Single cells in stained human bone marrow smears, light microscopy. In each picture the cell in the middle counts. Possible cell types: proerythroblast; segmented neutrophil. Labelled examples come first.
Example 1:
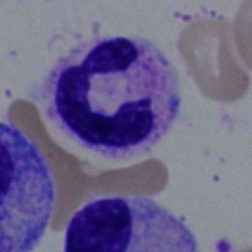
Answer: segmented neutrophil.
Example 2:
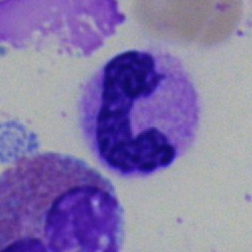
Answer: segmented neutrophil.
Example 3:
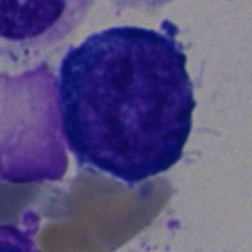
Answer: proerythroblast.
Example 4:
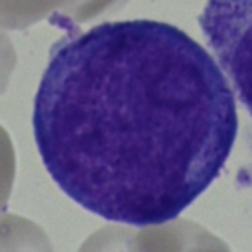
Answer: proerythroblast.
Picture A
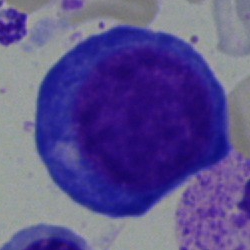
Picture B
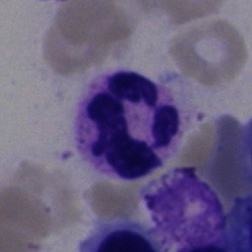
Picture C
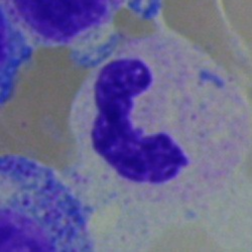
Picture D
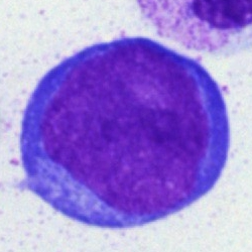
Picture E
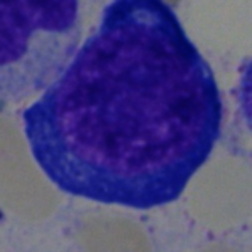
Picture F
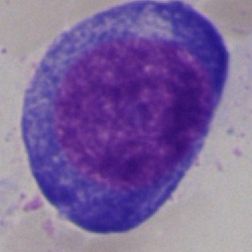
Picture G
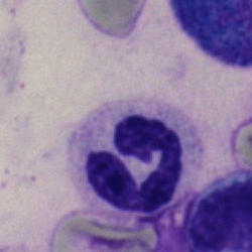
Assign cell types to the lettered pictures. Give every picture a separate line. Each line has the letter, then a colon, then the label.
A: proerythroblast.
B: segmented neutrophil.
C: segmented neutrophil.
D: proerythroblast.
E: proerythroblast.
F: proerythroblast.
G: segmented neutrophil.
